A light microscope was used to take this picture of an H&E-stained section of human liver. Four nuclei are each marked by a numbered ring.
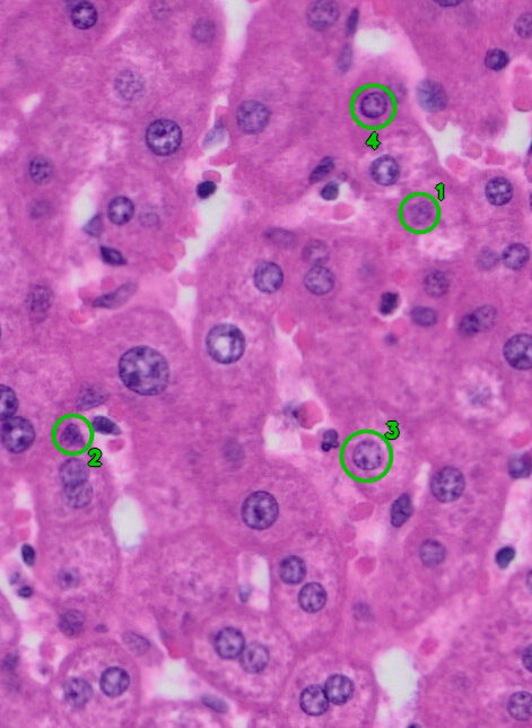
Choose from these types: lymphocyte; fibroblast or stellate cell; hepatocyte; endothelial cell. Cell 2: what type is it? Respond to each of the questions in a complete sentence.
Nucleus 2 in this section belongs to a fibroblast or stellate cell.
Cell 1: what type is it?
The numbered cell 1 in this field is a hepatocyte.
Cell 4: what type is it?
The cell identified by the number 4 is a hepatocyte.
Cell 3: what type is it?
Regarding cell 3, this one is a hepatocyte.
